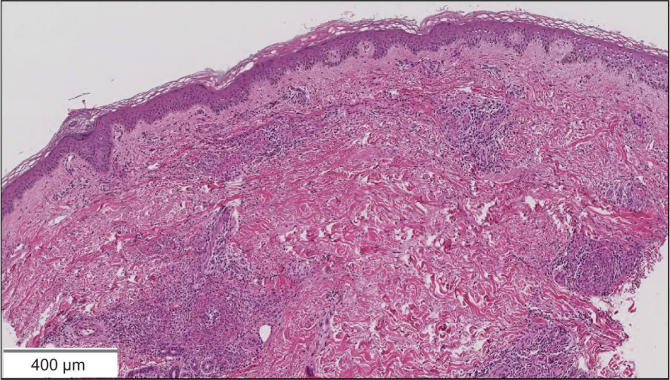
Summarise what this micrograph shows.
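This is a low-magnification section of skin with epidermis at the top and dermis below. The epidermis forms a thin purple layer with a flaky keratin surface. In the dermis, dark purple clusters of inflammatory cells lie around small vessels in both the upper and deeper dermis. Between these clusters, pink collagen bundles are loosely arranged and appear relatively spared.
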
